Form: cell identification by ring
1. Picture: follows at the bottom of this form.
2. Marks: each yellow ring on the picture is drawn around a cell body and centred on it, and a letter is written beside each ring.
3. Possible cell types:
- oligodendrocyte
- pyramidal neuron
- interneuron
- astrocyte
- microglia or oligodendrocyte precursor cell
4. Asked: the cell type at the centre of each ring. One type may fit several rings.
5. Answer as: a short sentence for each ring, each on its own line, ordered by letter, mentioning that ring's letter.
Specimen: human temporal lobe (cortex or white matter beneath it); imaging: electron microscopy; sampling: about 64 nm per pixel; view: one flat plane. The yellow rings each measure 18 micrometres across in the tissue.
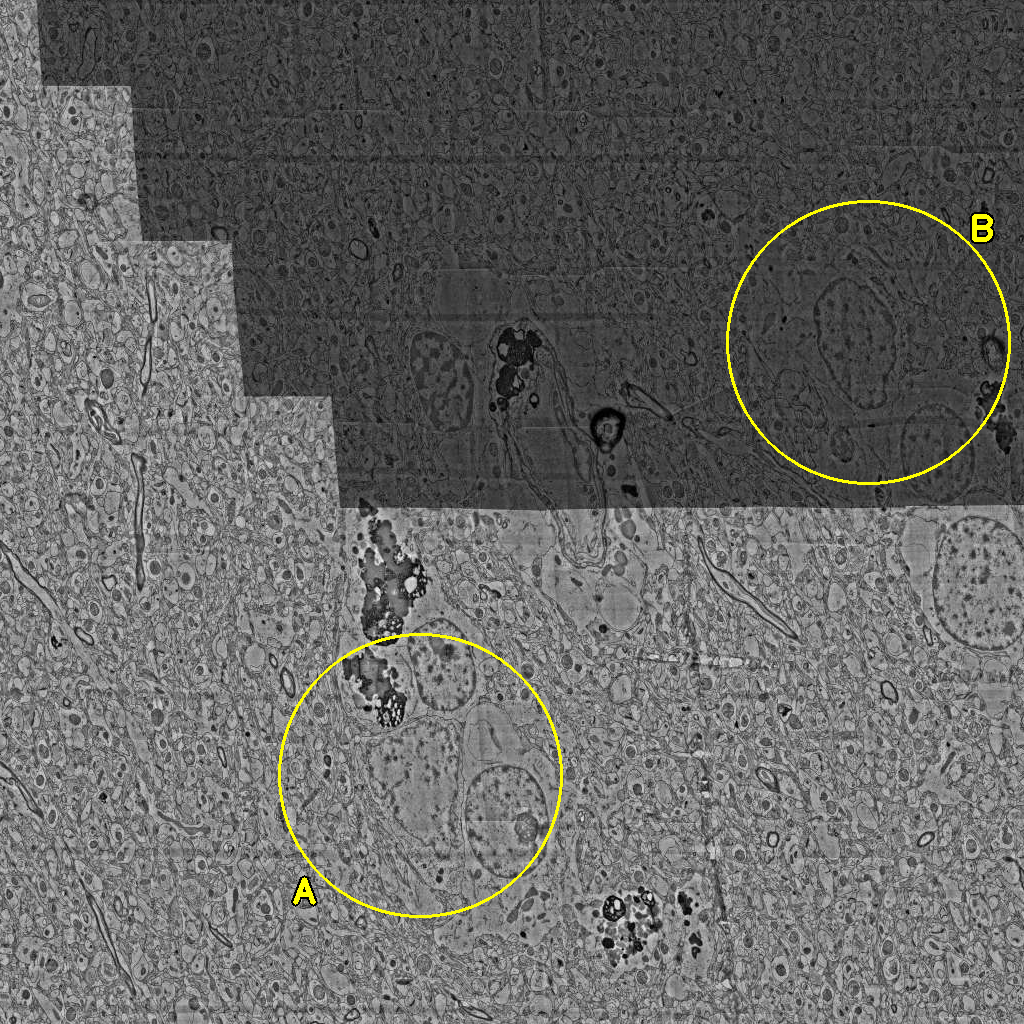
The cell at ring A's centre is an interneuron.
The cell at ring B's centre is an astrocyte.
